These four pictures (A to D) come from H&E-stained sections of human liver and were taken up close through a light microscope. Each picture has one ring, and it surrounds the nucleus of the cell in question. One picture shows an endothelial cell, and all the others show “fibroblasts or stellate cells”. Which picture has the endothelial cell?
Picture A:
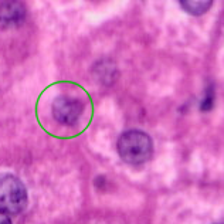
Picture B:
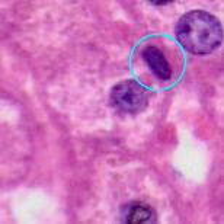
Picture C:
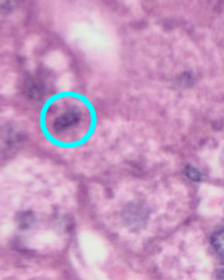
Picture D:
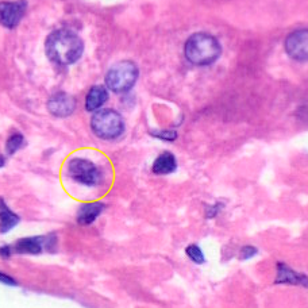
A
